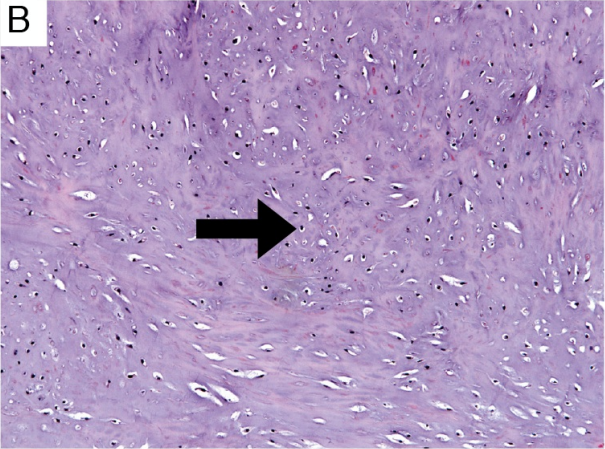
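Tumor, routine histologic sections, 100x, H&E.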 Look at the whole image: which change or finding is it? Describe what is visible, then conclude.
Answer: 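Cytologically bland. Nuclei are small and uniform. Cells are widely spaced in matrix, not crowded.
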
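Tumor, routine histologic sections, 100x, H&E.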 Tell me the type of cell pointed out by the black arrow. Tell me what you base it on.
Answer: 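Chondrocytes. Small cells lie singly in clear spaces scattered through abundant pale purple matrix. Nuclei are small and dark without marked variation in size.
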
